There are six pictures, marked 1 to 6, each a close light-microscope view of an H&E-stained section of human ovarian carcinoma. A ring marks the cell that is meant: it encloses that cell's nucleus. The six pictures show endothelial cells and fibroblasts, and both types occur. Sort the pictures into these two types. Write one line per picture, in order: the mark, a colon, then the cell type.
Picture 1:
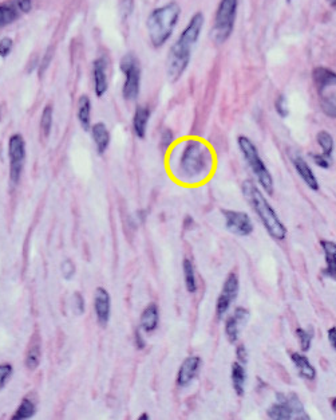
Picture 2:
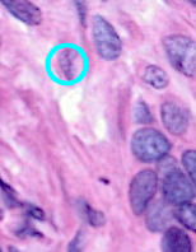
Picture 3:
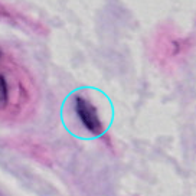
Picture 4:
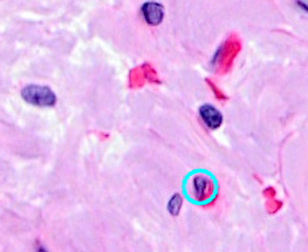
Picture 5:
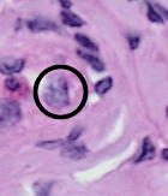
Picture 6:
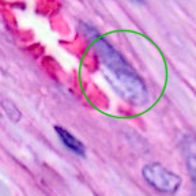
1: fibroblast
2: fibroblast
3: fibroblast
4: endothelial cell
5: endothelial cell
6: endothelial cell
